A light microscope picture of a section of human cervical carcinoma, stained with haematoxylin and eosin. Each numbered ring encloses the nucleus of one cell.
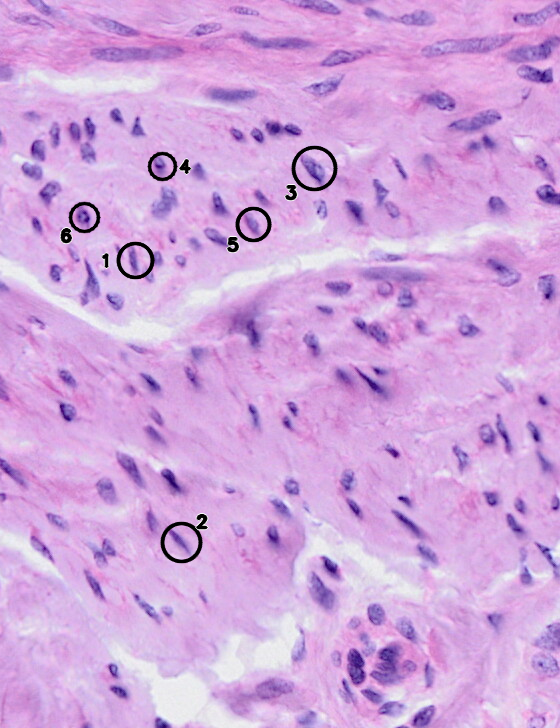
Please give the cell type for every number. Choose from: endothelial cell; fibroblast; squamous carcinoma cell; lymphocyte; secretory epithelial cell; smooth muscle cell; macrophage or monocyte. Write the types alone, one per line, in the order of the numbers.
smooth muscle cell
fibroblast
fibroblast
smooth muscle cell
smooth muscle cell
smooth muscle cell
